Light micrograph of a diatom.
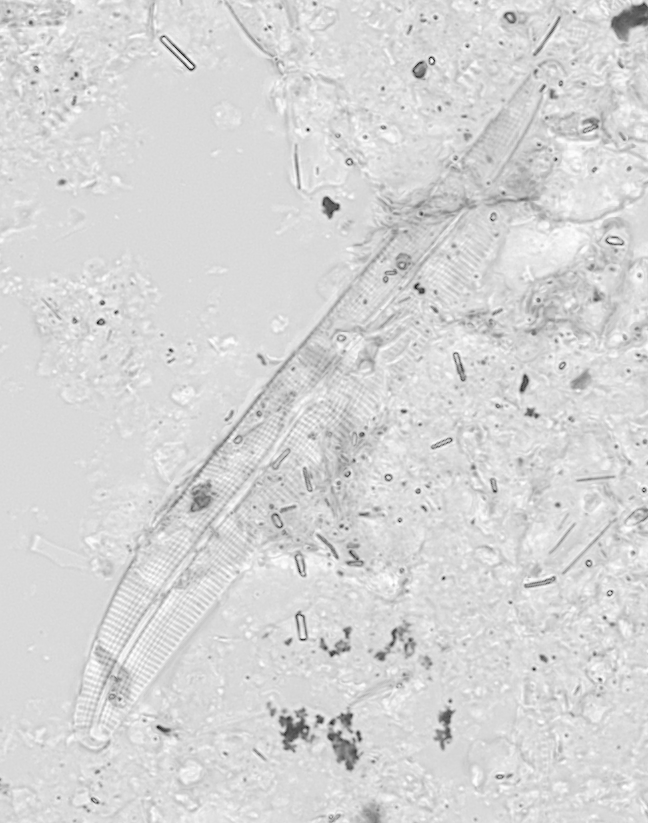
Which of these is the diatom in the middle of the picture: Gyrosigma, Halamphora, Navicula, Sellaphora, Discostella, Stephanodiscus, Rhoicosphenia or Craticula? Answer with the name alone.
Gyrosigma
